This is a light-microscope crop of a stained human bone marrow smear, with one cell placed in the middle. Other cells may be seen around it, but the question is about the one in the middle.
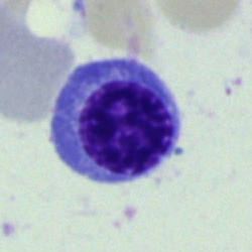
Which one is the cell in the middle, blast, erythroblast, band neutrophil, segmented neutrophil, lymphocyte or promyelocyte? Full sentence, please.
The central cell, amid any neighbouring cells, is an erythroblast.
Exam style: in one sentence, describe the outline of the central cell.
No projections interrupt the outline; it is smooth all the way round.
